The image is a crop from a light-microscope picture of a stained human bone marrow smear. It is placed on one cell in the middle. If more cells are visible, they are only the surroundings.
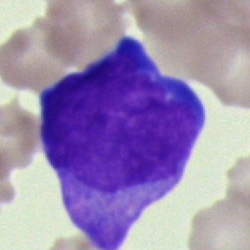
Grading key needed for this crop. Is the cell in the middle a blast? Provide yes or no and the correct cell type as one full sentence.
Yes, the crop's central cell is a blast.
